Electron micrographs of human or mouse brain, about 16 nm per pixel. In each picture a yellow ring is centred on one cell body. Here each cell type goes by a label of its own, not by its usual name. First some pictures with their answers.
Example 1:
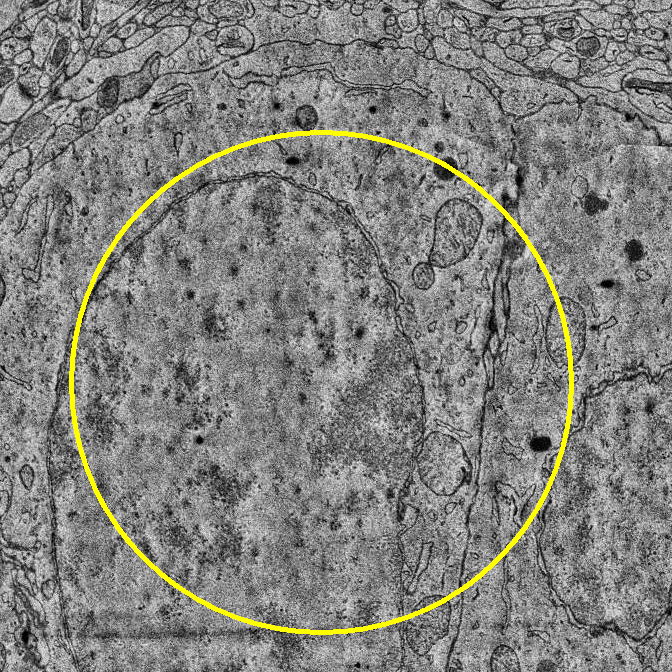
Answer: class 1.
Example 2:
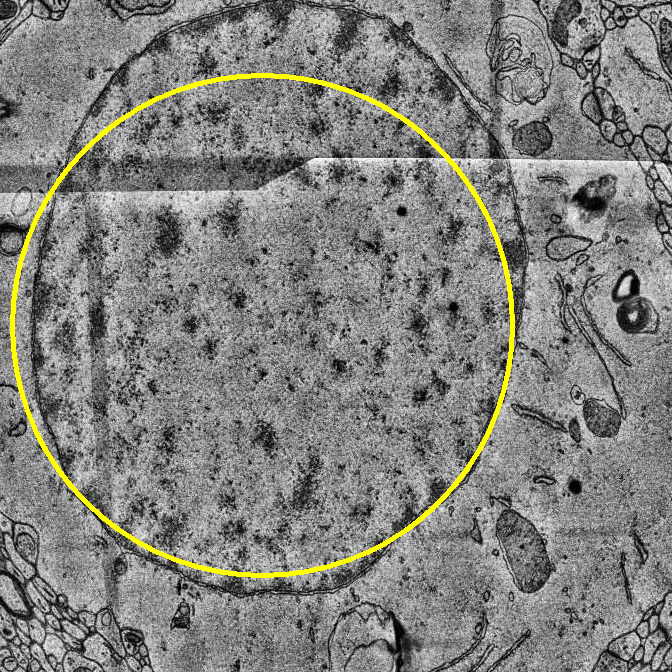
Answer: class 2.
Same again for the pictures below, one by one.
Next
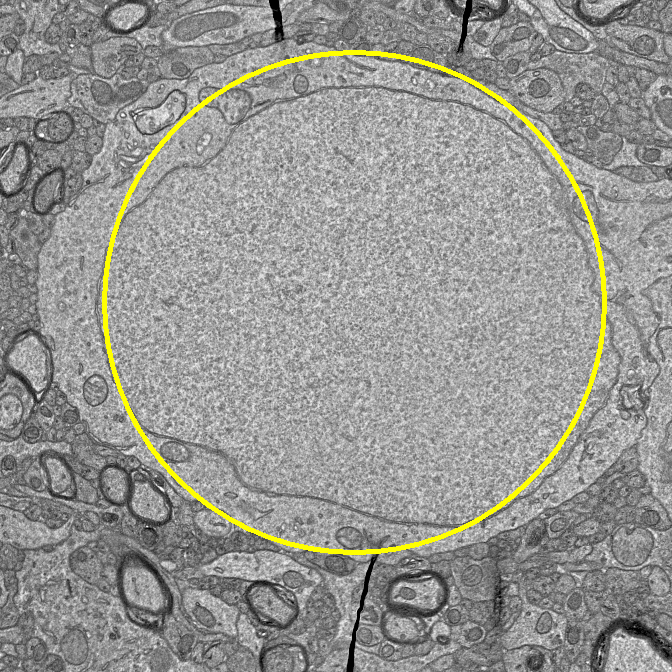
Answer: class 1.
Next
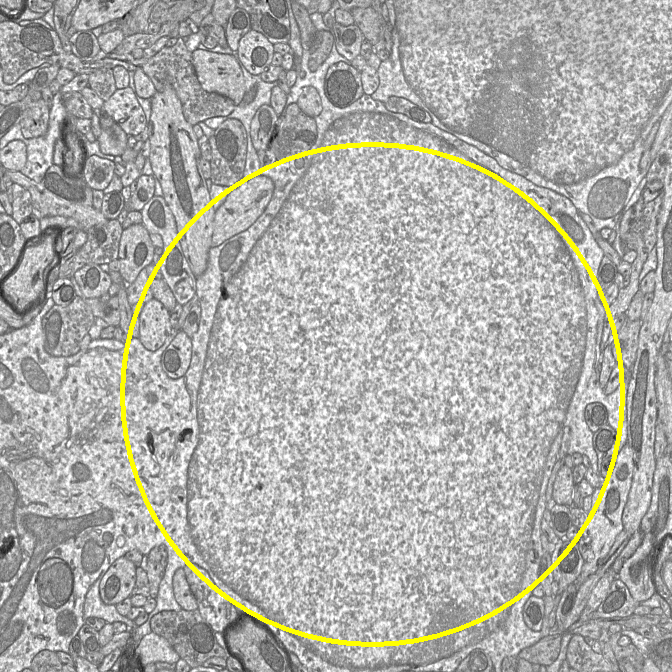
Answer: class 2.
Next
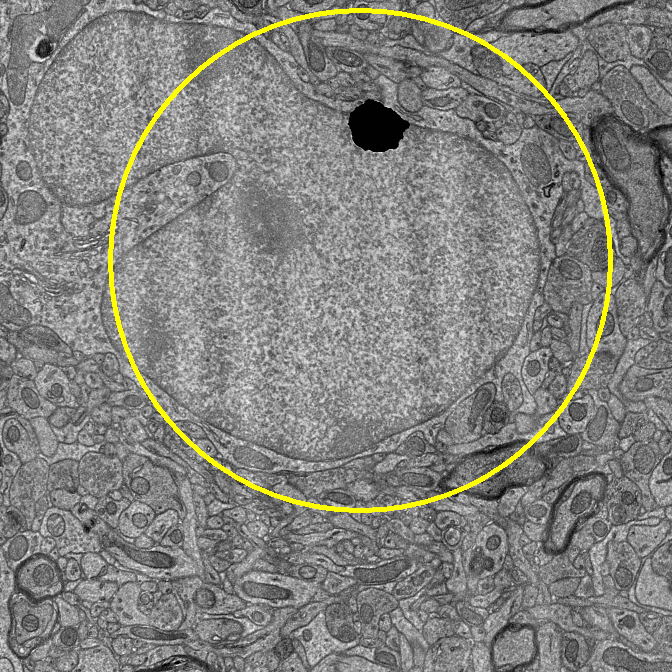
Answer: class 2.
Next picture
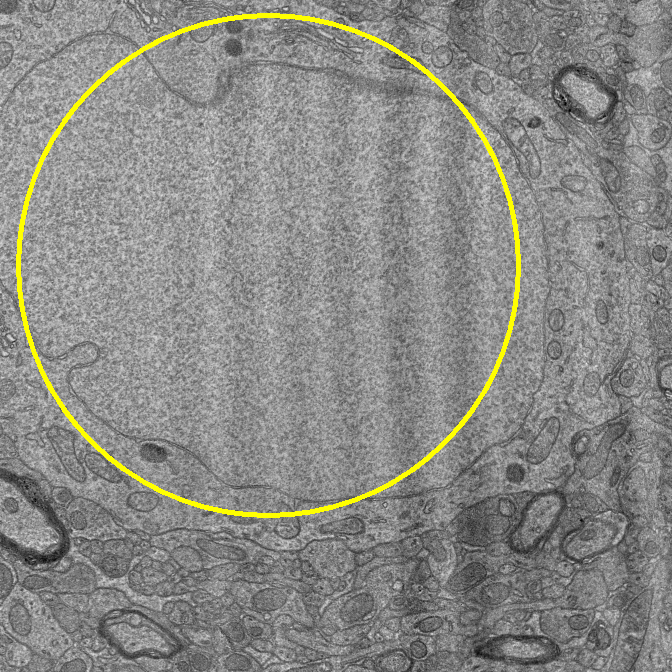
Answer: class 1.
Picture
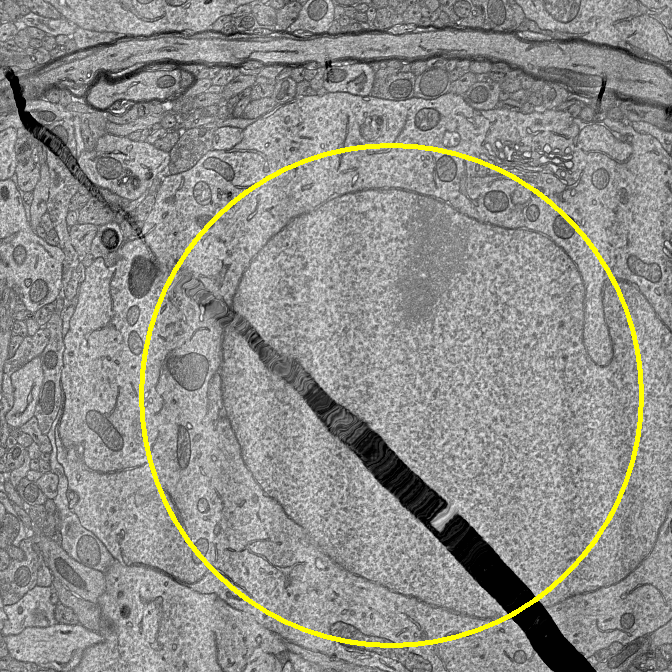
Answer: class 1.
